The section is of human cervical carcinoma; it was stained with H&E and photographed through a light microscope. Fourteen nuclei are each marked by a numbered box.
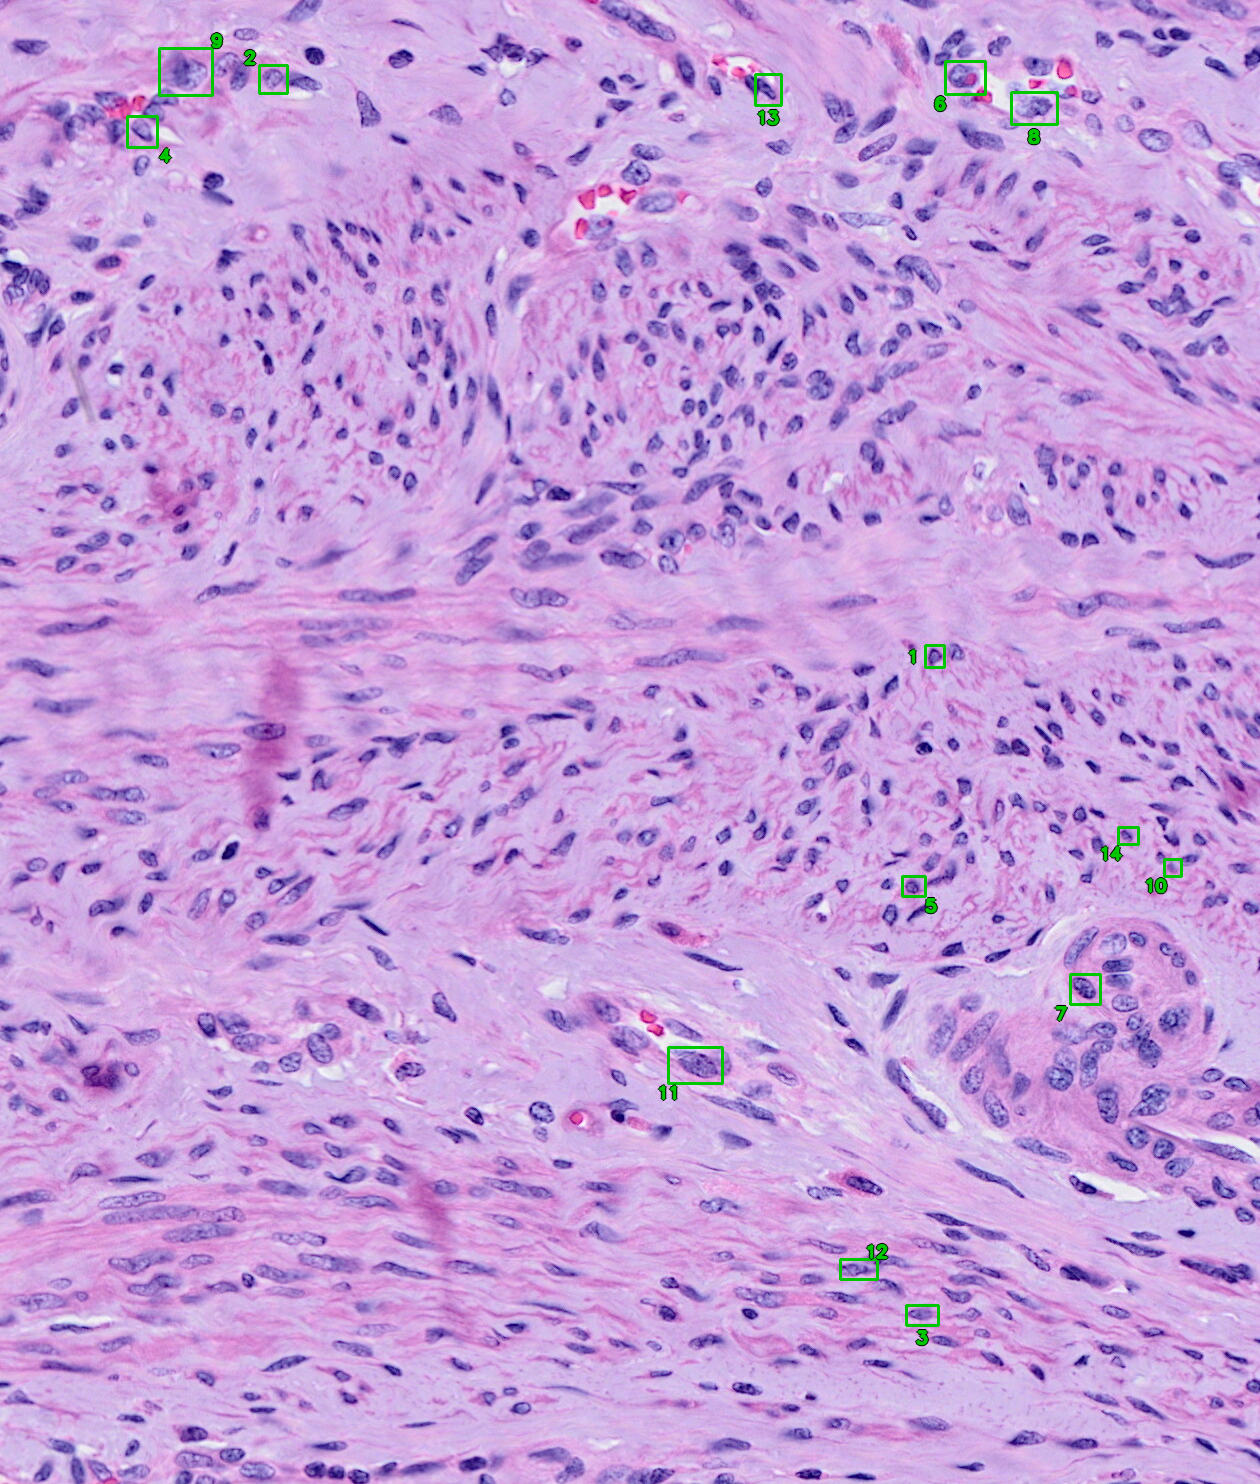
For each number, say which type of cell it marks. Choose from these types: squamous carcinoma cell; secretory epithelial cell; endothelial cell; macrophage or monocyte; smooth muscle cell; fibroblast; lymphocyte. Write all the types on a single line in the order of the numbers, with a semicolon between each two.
smooth muscle cell; endothelial cell; smooth muscle cell; endothelial cell; smooth muscle cell; endothelial cell; smooth muscle cell; endothelial cell; endothelial cell; smooth muscle cell; endothelial cell; smooth muscle cell; endothelial cell; smooth muscle cell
